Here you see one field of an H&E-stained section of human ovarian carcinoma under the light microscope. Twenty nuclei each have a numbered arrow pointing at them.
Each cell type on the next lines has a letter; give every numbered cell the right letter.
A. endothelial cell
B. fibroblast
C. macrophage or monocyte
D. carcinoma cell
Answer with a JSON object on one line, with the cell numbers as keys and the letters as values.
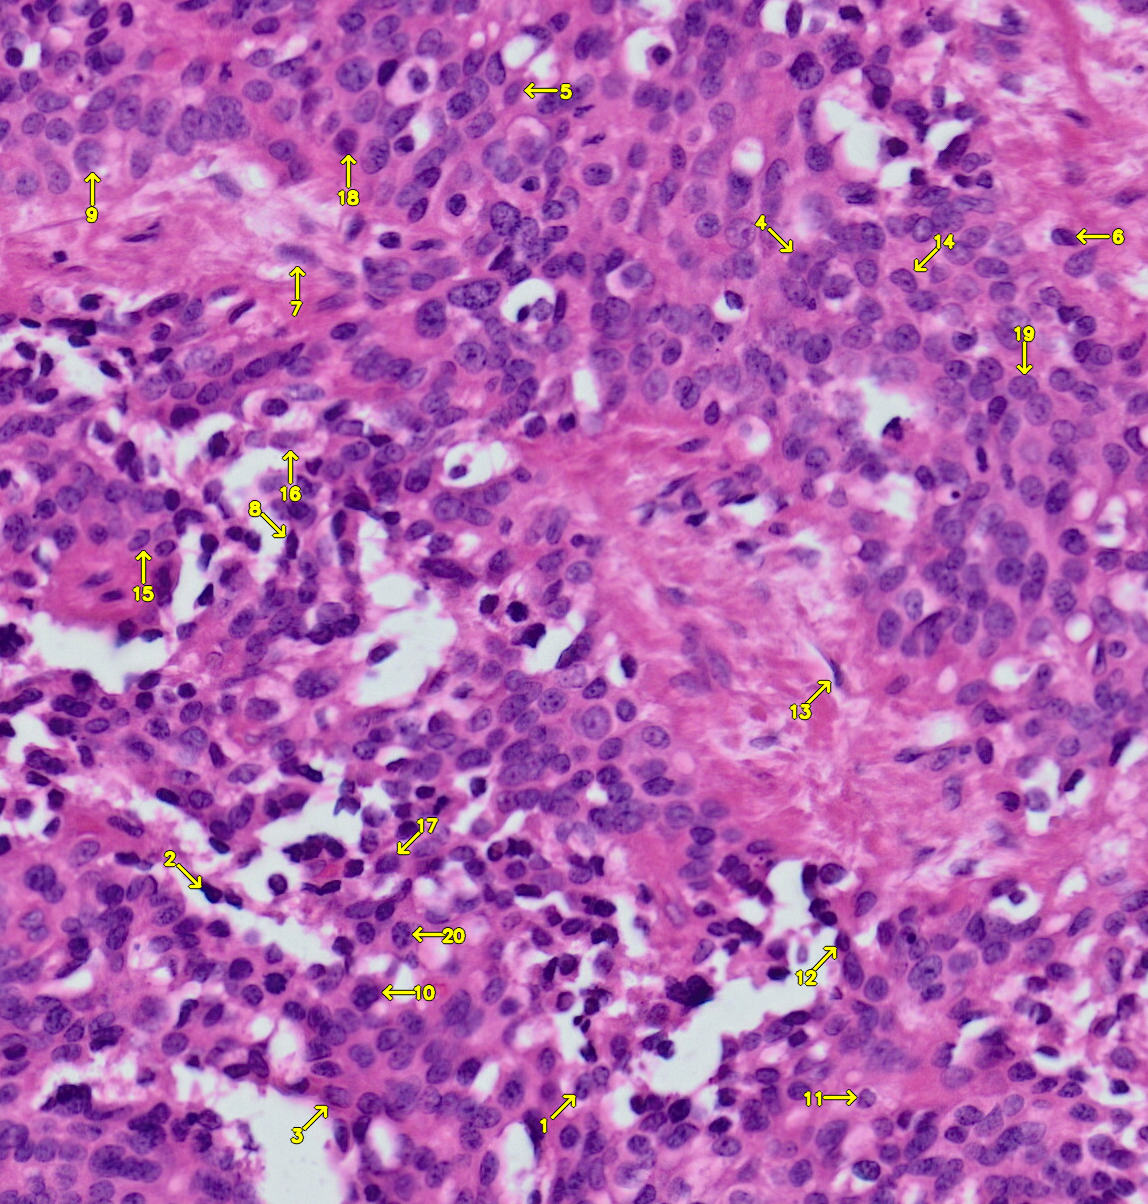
{"1": "C", "2": "D", "3": "A", "4": "D", "5": "D", "6": "C", "7": "B", "8": "D", "9": "D", "10": "D", "11": "C", "12": "D", "13": "B", "14": "C", "15": "C", "16": "D", "17": "D", "18": "D", "19": "D", "20": "C"}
